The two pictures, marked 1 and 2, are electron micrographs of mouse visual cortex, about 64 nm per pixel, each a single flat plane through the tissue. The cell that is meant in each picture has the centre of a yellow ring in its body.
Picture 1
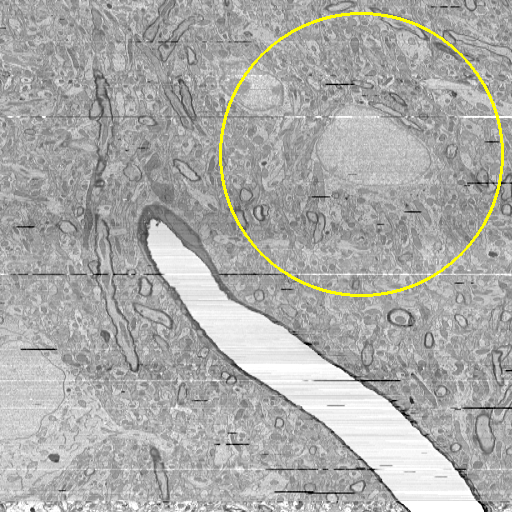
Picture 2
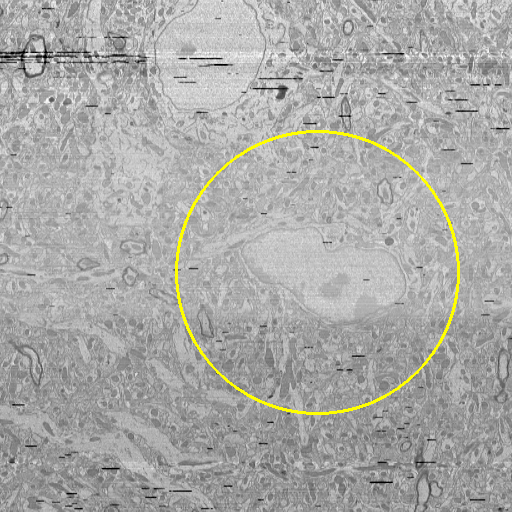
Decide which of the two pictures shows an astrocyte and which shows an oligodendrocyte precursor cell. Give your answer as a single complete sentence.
Picture 2 shows an oligodendrocyte precursor cell, while picture 1 shows an astrocyte.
